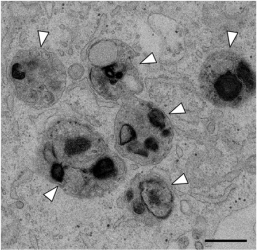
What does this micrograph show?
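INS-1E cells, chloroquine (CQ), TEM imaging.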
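In this electron micrograph of an insulin-secreting cell, a cluster of large membrane-bound autophagic vesicles fills much of the field. Each contains irregular, very electron-dense dark material and membranous debris within a grey matrix.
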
